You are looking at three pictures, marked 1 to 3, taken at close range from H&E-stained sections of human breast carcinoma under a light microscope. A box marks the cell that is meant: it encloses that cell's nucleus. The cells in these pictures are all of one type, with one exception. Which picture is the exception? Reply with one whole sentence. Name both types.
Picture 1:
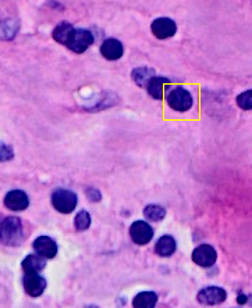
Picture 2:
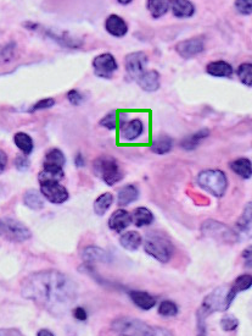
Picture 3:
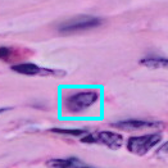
The different one is picture 3; it shows a mast cell, whereas all the others show lymphocytes.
